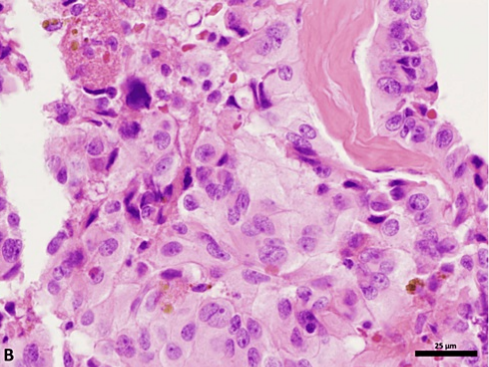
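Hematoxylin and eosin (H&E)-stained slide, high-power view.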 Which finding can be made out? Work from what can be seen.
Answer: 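Nuclei vary in size and shape. Some nuclei are large, dark and irregular beside smaller oval ones. So: moderate nuclear pleomorphism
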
